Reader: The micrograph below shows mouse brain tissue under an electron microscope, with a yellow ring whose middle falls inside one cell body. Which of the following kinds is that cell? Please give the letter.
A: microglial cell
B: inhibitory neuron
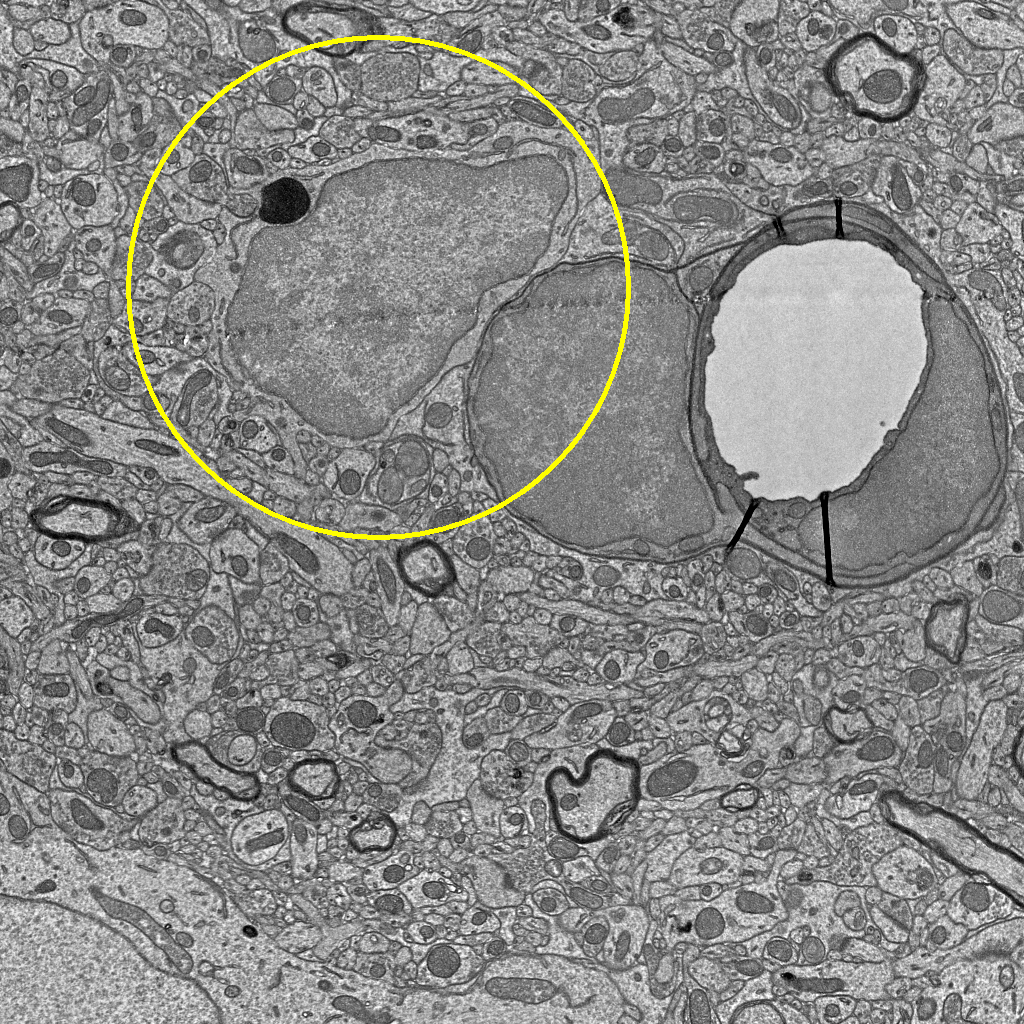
A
